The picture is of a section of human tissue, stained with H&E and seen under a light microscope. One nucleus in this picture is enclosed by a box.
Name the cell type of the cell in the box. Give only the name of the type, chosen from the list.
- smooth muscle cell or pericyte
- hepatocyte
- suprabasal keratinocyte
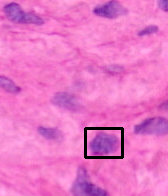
smooth muscle cell or pericyte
